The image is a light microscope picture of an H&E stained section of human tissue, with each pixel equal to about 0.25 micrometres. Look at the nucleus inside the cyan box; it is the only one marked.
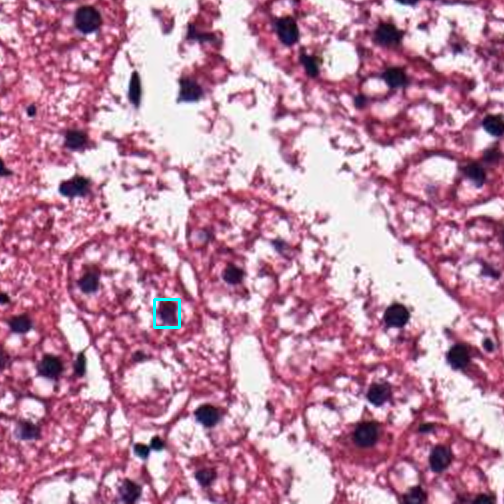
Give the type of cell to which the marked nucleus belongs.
adrenal cortical cell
